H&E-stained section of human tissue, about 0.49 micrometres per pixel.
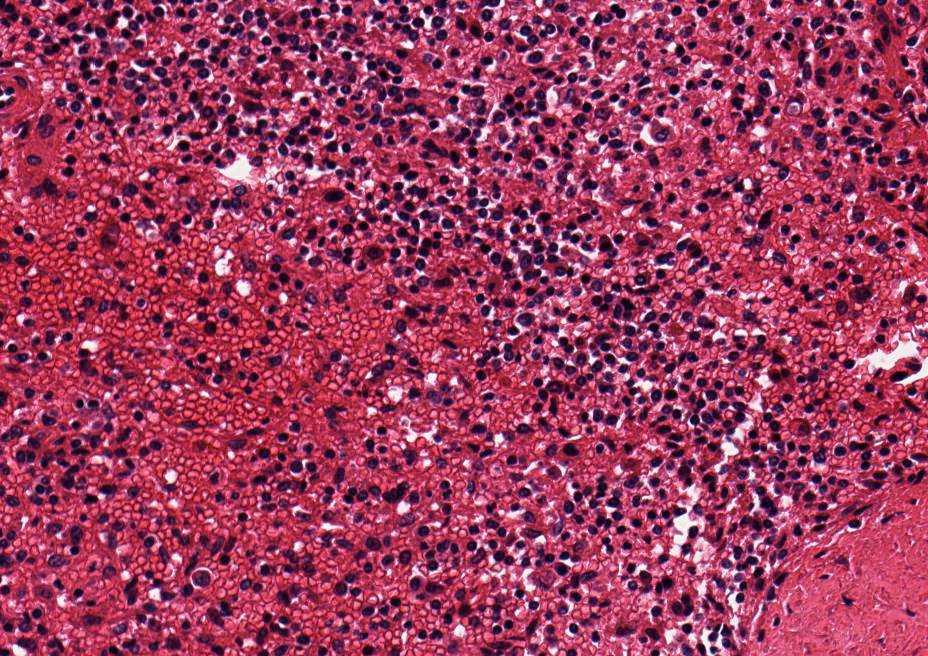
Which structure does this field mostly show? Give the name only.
red pulp of the spleen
